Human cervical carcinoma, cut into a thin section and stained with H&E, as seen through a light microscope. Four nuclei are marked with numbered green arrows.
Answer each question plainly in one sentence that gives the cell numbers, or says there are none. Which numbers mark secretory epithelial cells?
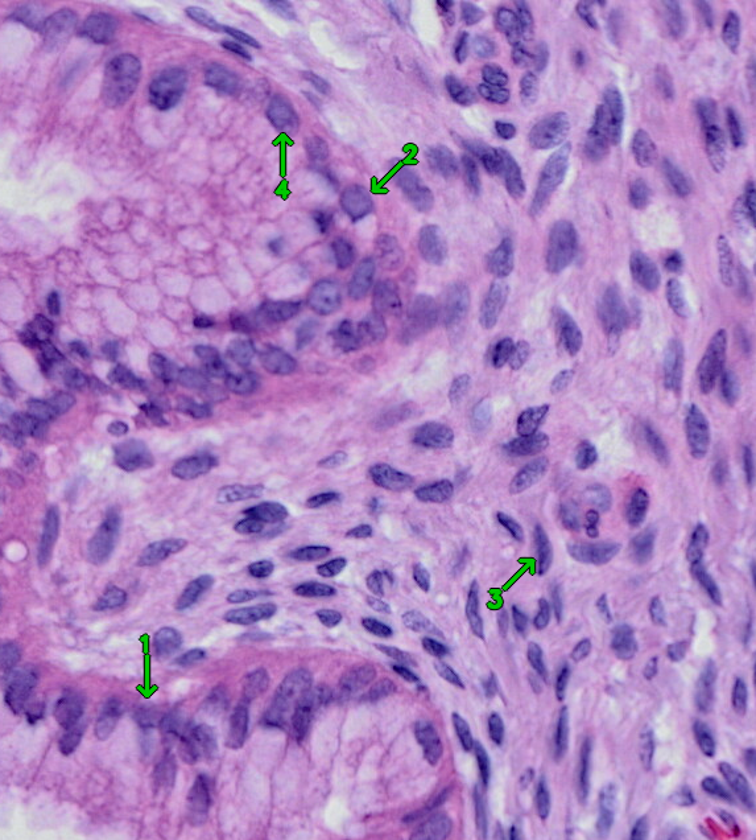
The cells that the numbers 1, 2 and 4 belong to are secretory epithelial cells.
